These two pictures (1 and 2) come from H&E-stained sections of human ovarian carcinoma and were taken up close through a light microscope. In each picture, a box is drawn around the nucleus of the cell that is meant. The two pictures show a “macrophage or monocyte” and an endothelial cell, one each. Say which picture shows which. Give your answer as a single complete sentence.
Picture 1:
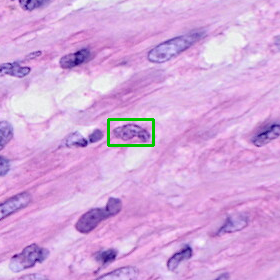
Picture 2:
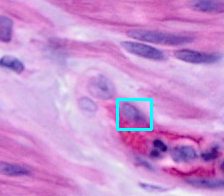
Picture 1 is of a “macrophage or monocyte”, and picture 2 is of an endothelial cell.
